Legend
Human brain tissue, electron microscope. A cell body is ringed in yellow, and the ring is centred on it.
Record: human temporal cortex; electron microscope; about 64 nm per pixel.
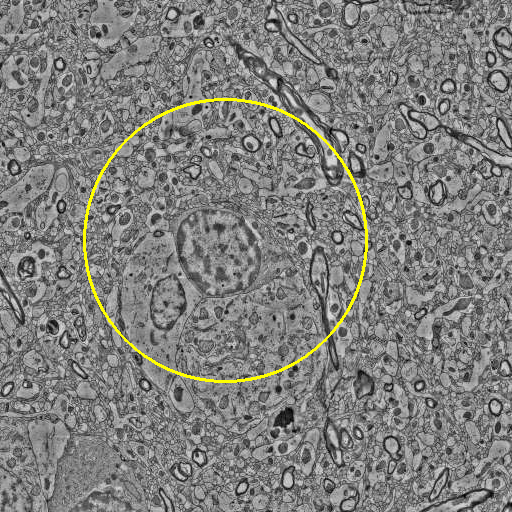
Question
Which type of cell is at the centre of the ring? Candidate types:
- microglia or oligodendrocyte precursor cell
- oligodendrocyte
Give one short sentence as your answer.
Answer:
The yellow ring is centred here on an oligodendrocyte.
